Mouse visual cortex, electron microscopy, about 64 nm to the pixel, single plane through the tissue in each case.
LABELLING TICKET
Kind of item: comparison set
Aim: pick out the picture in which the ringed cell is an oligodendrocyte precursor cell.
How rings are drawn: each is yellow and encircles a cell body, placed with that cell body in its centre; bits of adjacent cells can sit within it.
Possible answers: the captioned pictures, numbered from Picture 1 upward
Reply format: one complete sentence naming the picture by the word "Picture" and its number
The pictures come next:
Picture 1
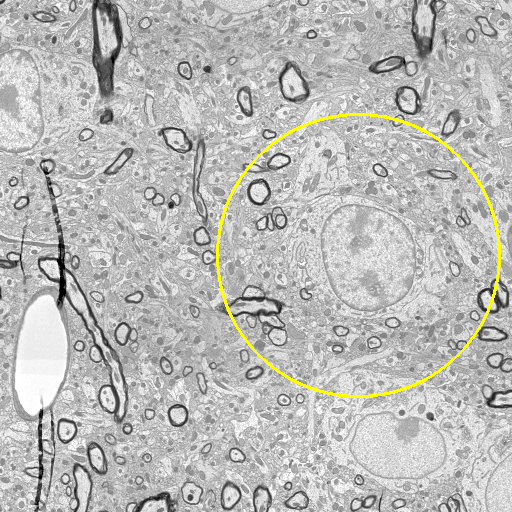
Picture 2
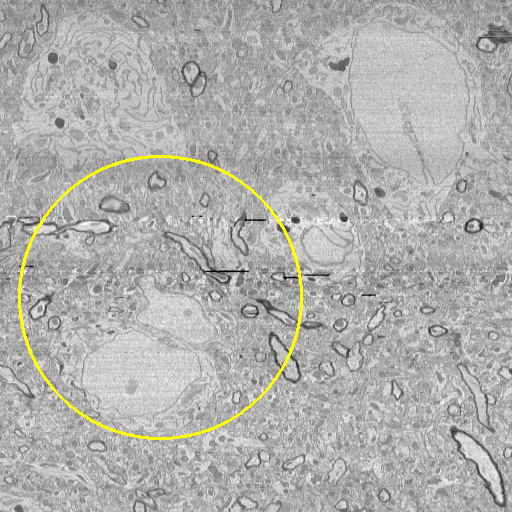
The cell centred inside the yellow ring in Picture 2 is the requested one.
